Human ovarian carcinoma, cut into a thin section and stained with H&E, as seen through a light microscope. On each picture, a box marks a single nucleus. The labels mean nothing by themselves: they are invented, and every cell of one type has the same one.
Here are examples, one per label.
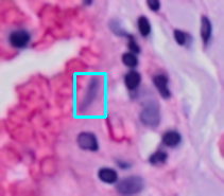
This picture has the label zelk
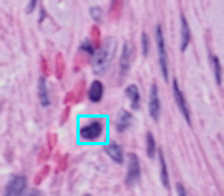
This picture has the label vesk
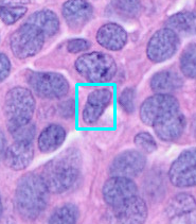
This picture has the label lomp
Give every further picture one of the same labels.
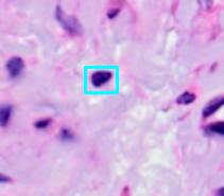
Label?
vesk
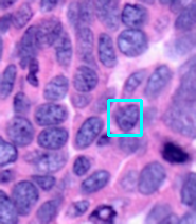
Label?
lomp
